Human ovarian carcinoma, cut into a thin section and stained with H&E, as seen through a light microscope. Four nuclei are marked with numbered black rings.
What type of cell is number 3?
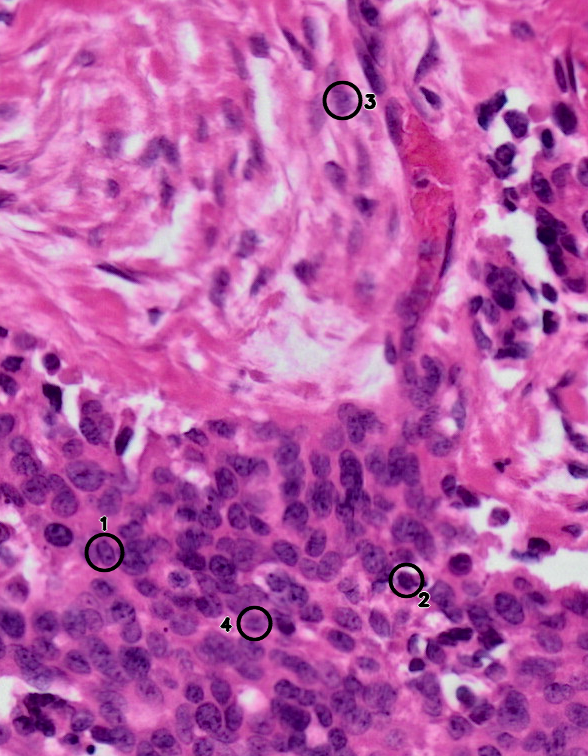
fibroblast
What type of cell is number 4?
carcinoma cell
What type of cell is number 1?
carcinoma cell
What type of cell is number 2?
carcinoma cell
